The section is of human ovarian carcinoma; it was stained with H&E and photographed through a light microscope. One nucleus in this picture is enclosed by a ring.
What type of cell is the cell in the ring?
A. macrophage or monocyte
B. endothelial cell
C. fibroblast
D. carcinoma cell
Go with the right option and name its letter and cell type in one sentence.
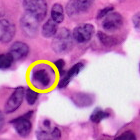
Option D is right in classifying the cell in the ring as a carcinoma cell.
